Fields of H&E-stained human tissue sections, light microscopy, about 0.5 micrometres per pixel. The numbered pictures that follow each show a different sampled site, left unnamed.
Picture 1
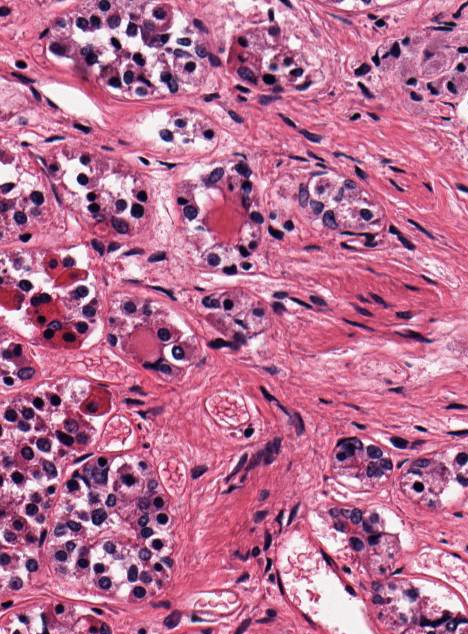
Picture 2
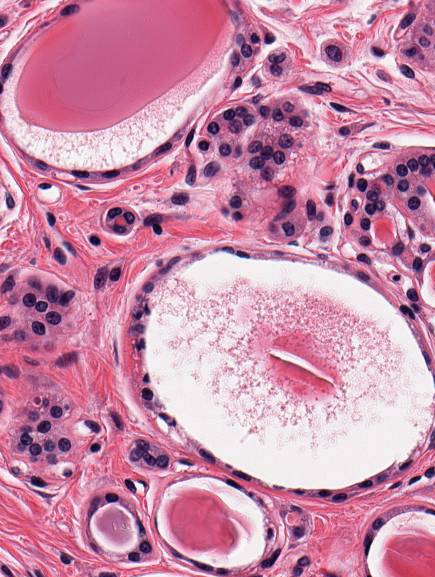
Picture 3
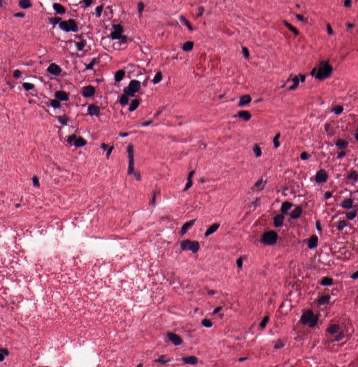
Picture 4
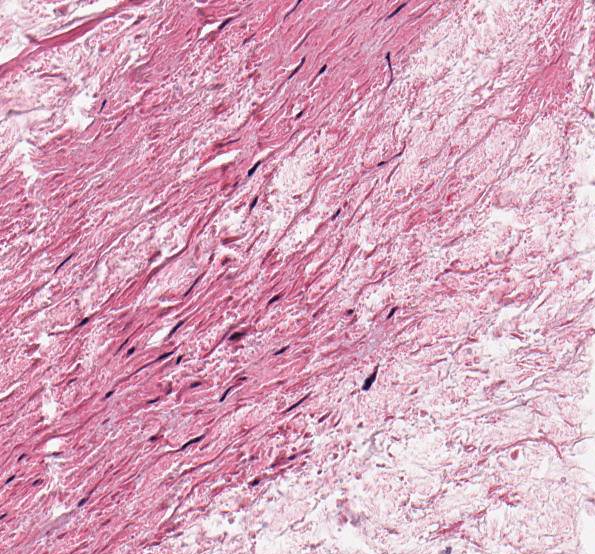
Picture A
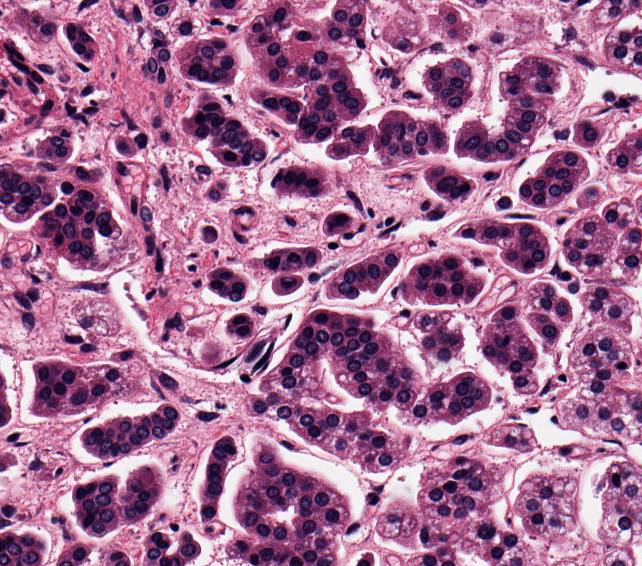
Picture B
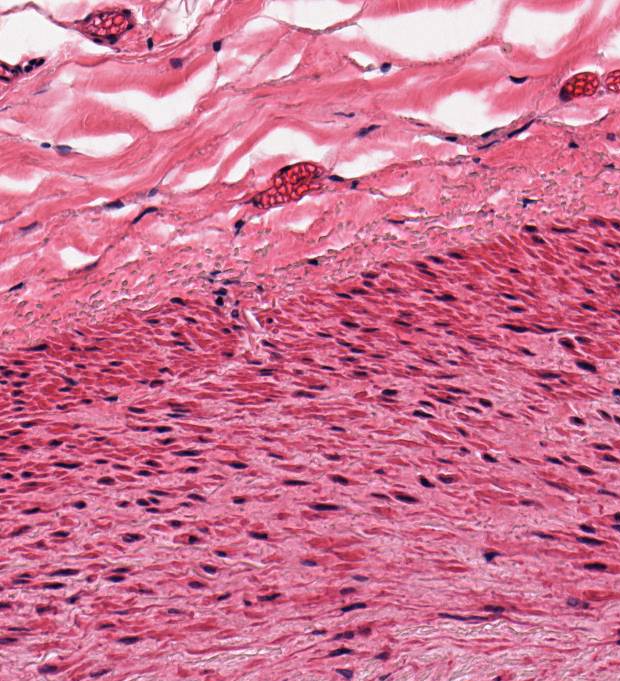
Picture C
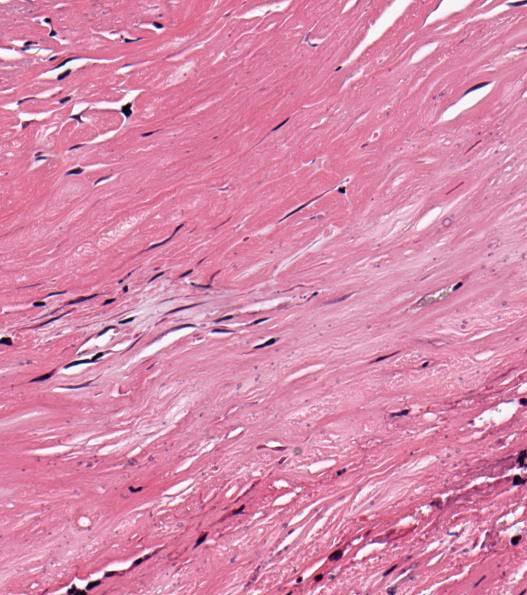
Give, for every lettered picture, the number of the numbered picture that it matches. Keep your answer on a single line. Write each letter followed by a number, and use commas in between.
A 3, B 4, C 4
